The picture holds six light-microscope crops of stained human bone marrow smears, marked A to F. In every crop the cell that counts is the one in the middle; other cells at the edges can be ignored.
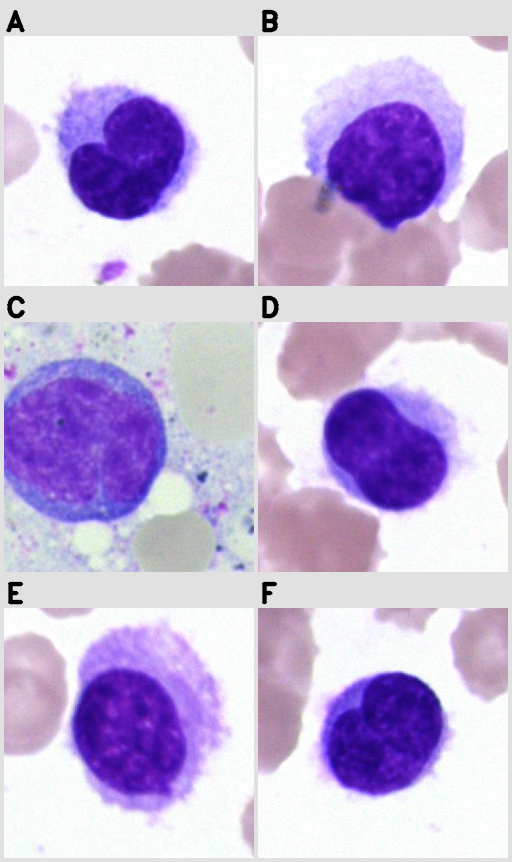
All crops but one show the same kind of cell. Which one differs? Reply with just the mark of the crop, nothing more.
C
